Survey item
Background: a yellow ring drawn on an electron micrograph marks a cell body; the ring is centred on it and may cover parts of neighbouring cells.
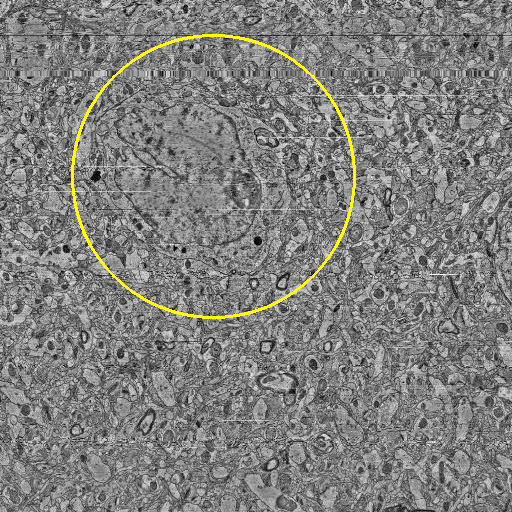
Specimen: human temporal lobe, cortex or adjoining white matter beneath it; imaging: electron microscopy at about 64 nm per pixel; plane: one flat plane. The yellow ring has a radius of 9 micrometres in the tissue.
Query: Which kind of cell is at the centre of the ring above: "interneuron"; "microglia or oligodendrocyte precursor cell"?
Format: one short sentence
The cell in the middle of the ring is an interneuron.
